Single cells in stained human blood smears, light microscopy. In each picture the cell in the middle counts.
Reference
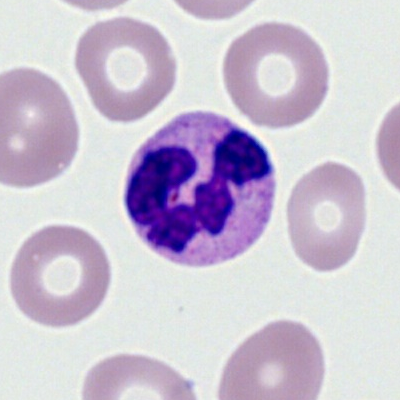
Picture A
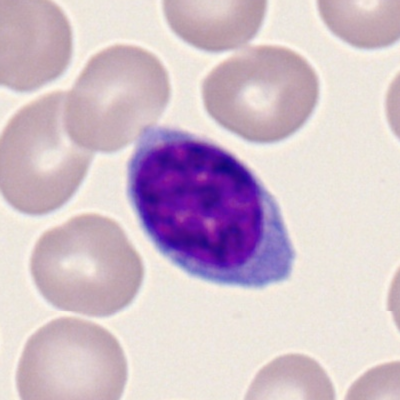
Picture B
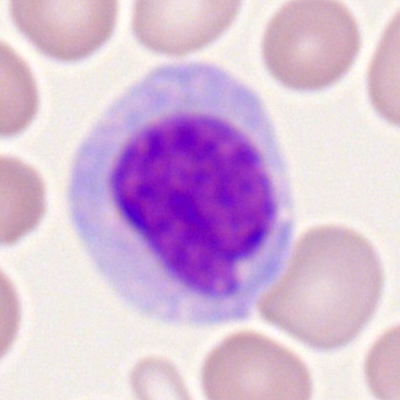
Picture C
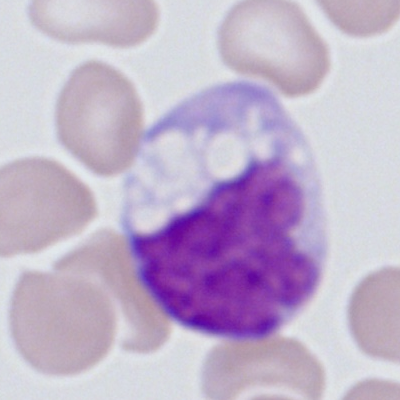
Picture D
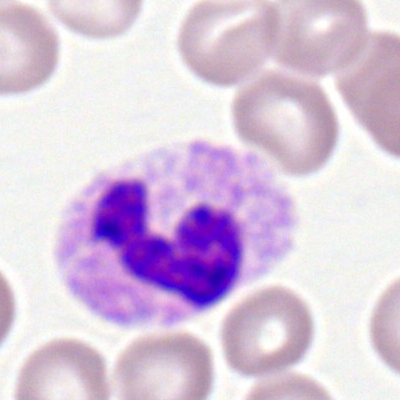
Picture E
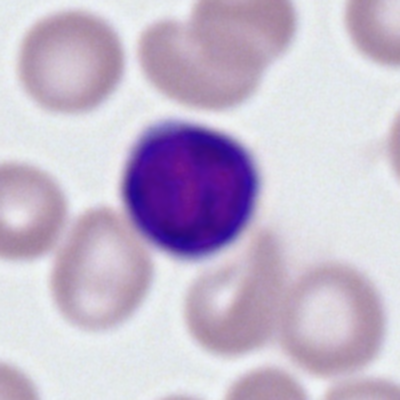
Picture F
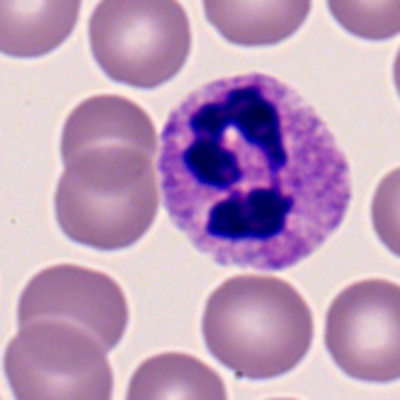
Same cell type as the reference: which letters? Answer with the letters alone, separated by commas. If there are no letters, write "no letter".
D, F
